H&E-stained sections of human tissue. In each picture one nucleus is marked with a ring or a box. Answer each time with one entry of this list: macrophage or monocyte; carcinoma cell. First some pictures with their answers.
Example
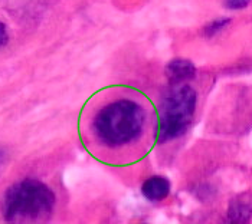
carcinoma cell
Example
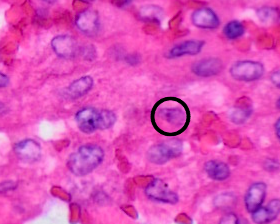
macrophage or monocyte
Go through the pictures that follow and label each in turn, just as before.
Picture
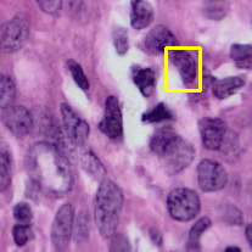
carcinoma cell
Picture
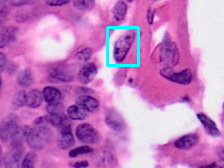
macrophage or monocyte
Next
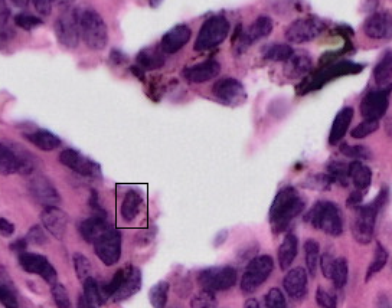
macrophage or monocyte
